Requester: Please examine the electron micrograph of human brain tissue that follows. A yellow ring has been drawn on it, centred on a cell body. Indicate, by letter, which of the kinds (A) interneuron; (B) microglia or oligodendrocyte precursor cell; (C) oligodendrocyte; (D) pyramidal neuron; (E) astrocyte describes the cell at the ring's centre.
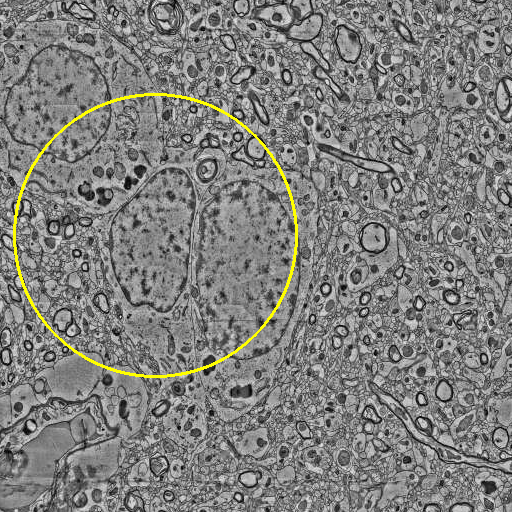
B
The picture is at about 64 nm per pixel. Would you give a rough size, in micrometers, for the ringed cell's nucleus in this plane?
Roughly 9 by 6 micrometres is the size of the nucleus in this plane.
